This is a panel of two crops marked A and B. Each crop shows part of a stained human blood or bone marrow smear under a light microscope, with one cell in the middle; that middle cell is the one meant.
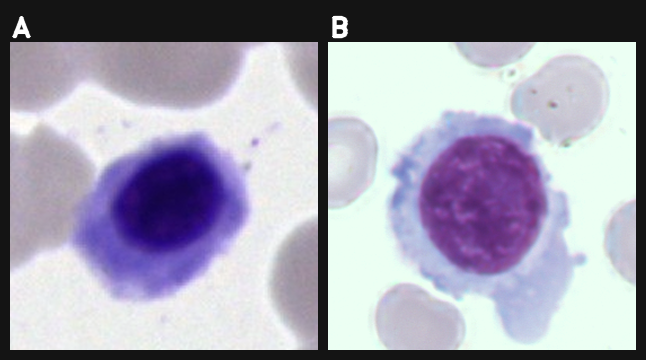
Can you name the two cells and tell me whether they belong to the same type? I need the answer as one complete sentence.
No, the assignment should read crop A, an erythroblast; crop B, a plasma cell.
